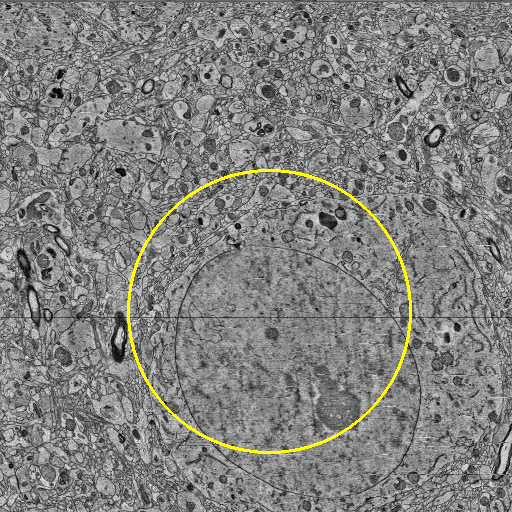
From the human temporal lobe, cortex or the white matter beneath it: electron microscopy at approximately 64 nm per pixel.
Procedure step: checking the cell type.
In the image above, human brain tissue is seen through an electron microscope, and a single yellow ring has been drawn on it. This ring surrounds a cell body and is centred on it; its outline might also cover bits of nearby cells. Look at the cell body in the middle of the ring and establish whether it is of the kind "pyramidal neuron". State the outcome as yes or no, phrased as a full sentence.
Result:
Yes, the cell body at the ring's centre in the image is of the kind in question.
